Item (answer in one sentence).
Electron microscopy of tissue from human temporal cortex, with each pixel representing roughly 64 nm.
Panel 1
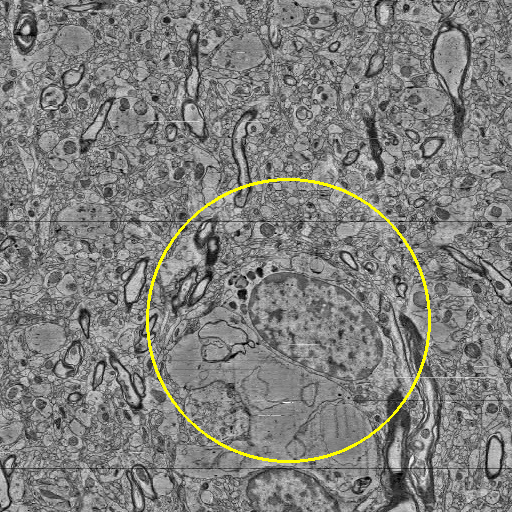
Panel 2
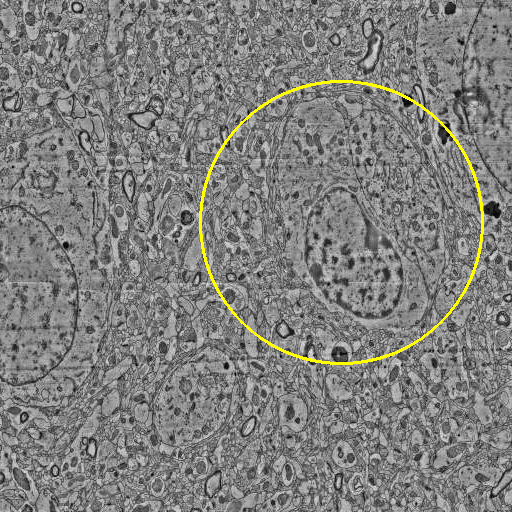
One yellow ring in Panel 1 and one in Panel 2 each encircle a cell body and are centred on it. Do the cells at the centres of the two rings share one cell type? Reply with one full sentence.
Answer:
Yes, Panel 1 and Panel 2 show cells of one type at the centres of their rings.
